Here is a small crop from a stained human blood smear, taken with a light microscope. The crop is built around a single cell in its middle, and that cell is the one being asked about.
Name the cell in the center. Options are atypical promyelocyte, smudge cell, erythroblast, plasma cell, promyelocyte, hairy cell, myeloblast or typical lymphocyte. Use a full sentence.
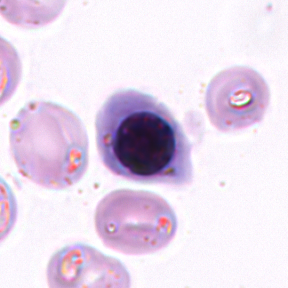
Where the crop is centred, there is an erythroblast.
